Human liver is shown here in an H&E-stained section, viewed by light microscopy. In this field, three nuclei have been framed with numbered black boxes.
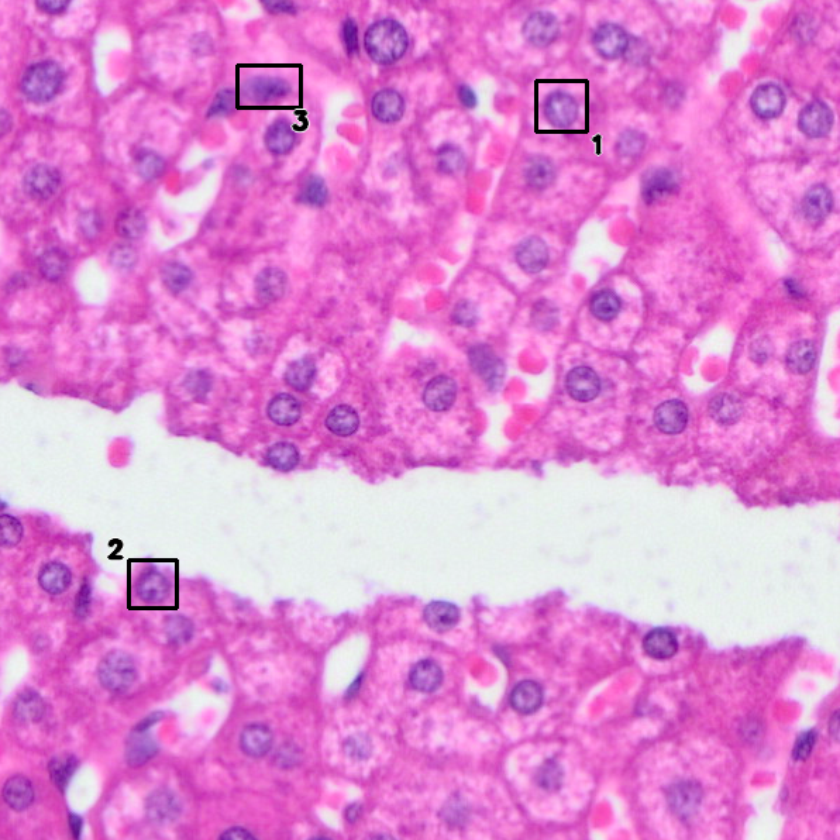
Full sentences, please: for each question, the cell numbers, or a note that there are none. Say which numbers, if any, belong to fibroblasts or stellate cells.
Only number 3 is a fibroblast or stellate cell; none of the others are.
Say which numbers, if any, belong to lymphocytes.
Zero of the numbered cells are lymphocytes.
